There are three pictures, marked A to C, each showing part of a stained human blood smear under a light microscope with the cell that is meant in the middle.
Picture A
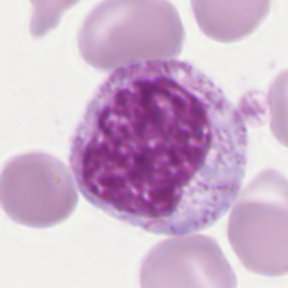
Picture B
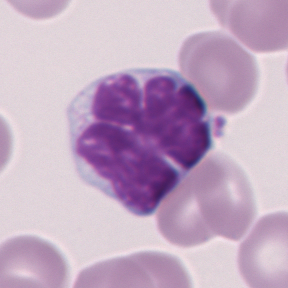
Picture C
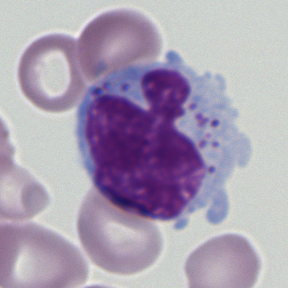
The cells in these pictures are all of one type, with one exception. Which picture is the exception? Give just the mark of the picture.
A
